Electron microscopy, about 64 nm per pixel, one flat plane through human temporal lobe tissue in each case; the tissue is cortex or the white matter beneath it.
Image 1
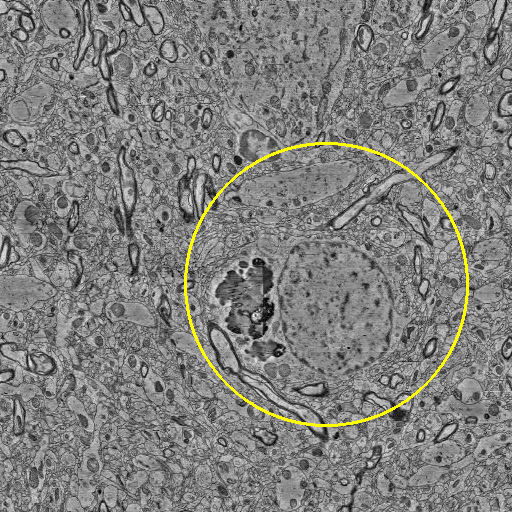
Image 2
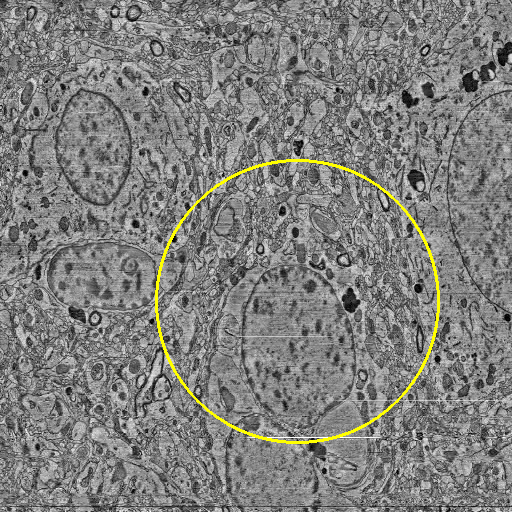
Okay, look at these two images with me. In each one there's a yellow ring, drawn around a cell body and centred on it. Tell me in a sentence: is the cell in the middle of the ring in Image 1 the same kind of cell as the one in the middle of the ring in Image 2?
Yes, they're the same kind of cell.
